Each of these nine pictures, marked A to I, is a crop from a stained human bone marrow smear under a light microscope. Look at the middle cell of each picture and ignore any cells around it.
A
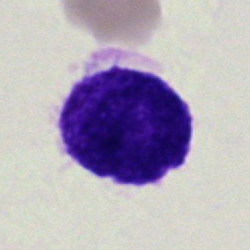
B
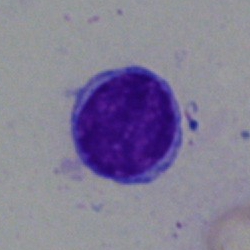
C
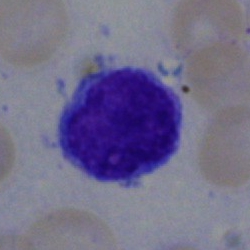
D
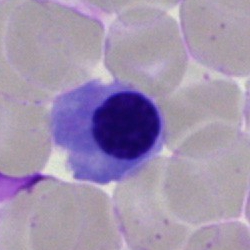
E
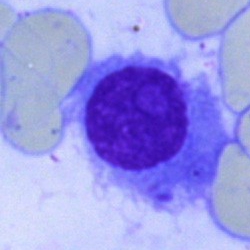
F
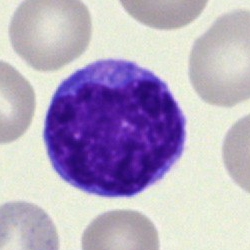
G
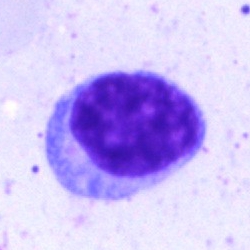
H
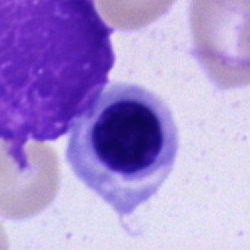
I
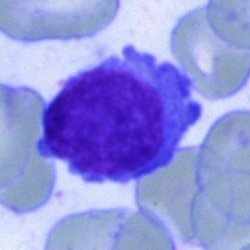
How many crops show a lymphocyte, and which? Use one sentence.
The set of crops showing lymphocytes comprises three, namely B, C and G.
